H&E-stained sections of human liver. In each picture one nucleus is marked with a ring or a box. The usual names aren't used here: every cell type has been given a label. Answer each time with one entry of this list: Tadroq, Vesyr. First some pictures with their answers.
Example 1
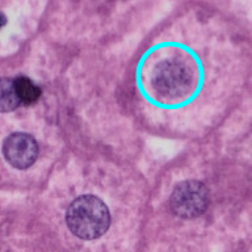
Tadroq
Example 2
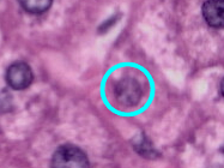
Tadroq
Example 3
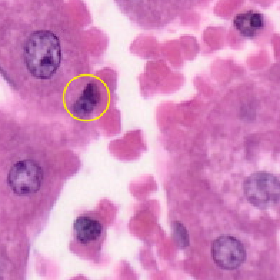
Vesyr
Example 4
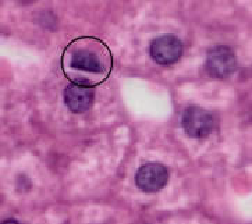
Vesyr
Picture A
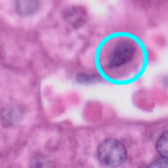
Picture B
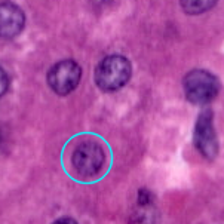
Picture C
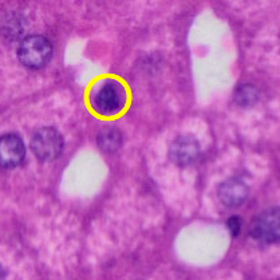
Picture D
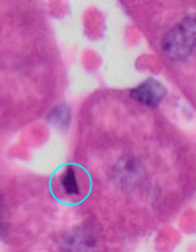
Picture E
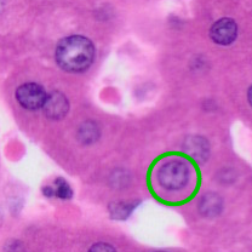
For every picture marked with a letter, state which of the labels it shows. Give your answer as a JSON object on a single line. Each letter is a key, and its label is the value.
{"A": "Vesyr", "B": "Tadroq", "C": "Vesyr", "D": "Vesyr", "E": "Tadroq"}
